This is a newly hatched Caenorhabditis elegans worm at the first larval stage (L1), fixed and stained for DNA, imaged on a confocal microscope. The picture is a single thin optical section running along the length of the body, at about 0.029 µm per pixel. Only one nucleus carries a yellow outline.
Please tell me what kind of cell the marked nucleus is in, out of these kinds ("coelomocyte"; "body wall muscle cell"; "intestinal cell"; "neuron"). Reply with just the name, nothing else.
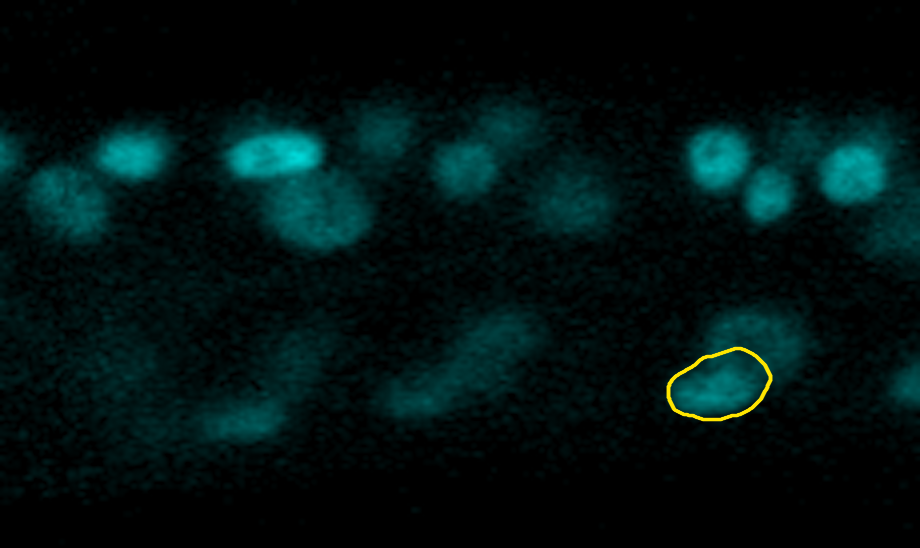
body wall muscle cell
